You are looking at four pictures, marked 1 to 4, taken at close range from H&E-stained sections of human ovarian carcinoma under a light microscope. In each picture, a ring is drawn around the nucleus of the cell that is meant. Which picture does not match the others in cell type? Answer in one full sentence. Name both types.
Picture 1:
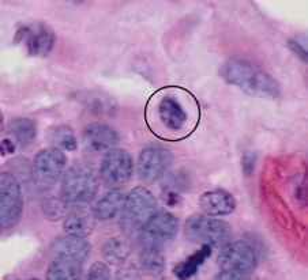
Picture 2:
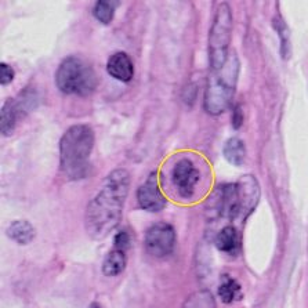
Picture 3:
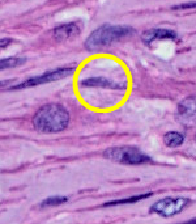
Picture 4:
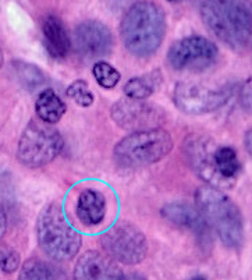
The others show lymphocytes, but picture 3 shows a fibroblast.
